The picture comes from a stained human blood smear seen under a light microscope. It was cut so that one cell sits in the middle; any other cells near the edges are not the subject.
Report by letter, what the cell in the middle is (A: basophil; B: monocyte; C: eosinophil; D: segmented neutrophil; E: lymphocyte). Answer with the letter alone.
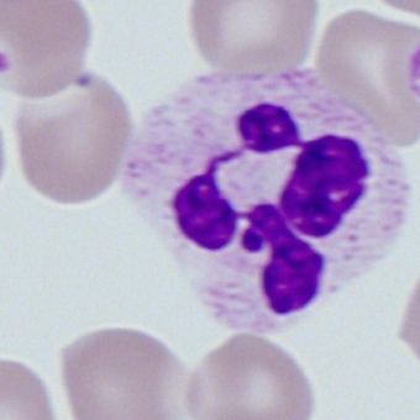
D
